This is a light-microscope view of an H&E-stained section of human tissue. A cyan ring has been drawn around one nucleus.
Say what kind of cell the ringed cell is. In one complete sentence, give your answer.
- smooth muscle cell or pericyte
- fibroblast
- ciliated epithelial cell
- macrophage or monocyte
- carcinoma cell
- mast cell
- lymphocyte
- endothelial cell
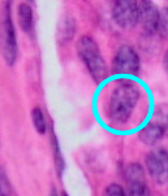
In cell-type terms, the ringed cell is a ciliated epithelial cell.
